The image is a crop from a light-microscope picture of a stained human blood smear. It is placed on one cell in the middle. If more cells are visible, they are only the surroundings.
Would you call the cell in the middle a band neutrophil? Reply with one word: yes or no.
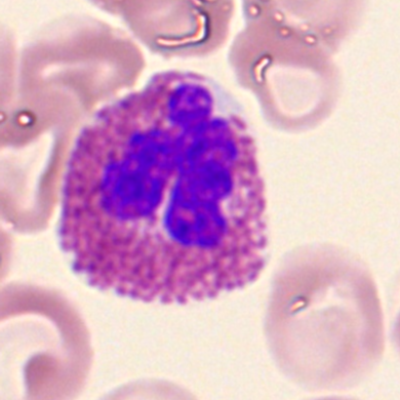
no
